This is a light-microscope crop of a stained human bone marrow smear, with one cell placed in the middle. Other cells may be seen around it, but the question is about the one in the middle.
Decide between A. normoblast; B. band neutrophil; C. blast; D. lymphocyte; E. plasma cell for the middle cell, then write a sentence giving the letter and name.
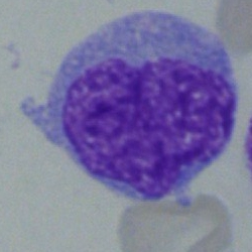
The central cell in this crop is a blast, so the correct choice is option C.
